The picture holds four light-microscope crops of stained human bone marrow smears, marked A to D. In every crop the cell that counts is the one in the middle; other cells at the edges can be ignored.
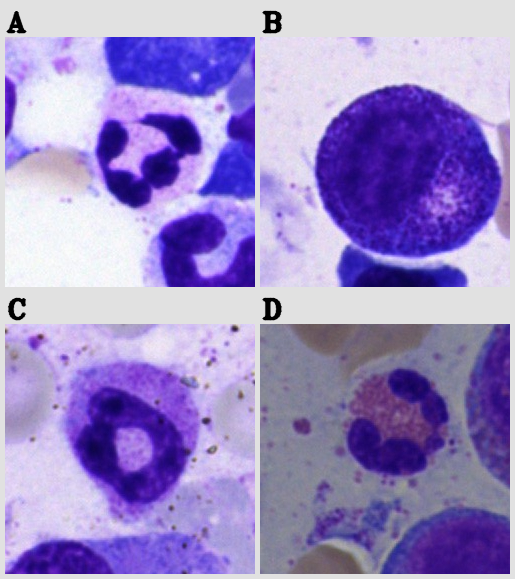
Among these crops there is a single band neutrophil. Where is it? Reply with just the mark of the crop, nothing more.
C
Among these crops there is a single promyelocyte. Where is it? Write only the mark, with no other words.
B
